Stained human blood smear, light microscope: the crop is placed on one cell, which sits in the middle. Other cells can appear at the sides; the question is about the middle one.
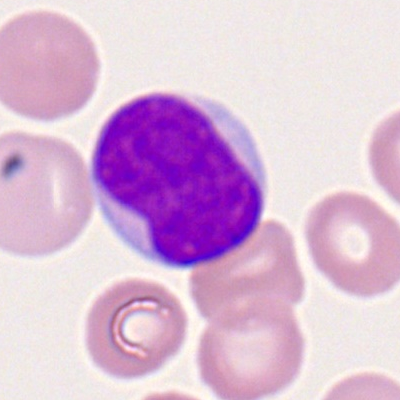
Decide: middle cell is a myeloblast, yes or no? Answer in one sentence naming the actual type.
No, what is seen at the centre is a lymphocyte instead of a myeloblast.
